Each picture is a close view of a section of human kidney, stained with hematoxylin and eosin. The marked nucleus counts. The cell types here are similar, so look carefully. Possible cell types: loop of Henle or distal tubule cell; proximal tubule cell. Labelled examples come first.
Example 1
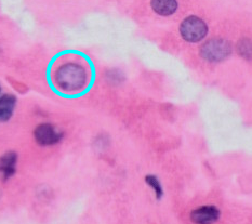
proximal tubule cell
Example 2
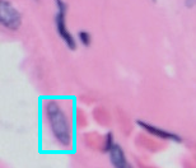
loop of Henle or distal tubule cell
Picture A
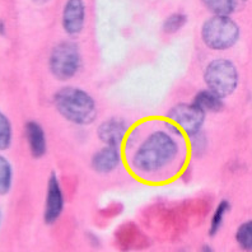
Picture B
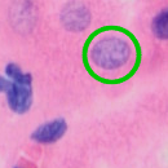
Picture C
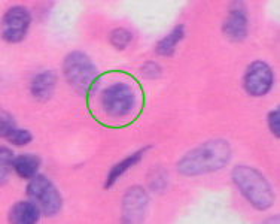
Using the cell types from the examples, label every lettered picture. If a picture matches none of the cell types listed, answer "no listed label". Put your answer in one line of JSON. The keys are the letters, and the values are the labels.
{"A": "no listed label", "B": "proximal tubule cell", "C": "no listed label"}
